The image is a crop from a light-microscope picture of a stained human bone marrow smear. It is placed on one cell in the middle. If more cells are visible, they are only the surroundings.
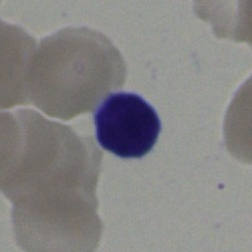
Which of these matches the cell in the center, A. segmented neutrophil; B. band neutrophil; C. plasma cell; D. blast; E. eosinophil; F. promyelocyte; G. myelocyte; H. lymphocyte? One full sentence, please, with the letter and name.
Option H is the keyed answer: the cell in the middle is a lymphocyte.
